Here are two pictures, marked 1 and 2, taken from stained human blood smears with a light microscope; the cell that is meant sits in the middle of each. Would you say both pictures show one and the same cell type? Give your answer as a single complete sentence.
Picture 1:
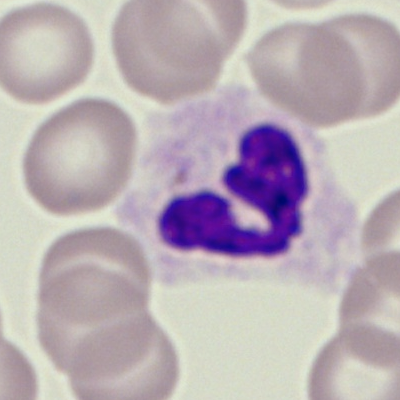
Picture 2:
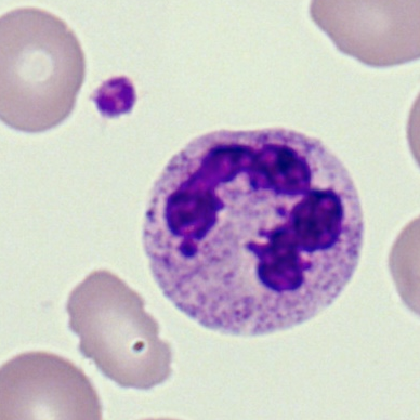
Yes, they are the same type: both are segmented neutrophils.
